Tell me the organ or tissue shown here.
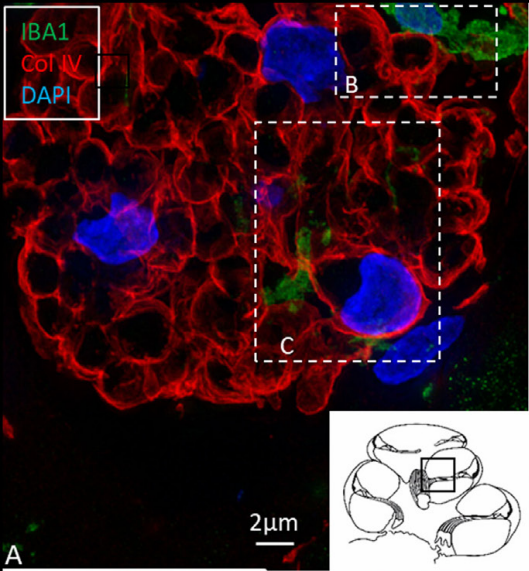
Cross-sectioned nerve bundle.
